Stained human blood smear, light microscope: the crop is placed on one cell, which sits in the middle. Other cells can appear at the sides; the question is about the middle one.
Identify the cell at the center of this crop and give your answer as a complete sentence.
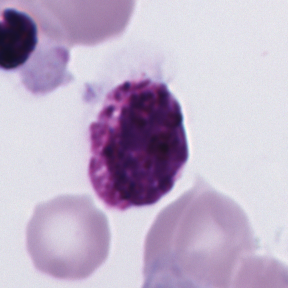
What sits at the centre of this crop is a basophil.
